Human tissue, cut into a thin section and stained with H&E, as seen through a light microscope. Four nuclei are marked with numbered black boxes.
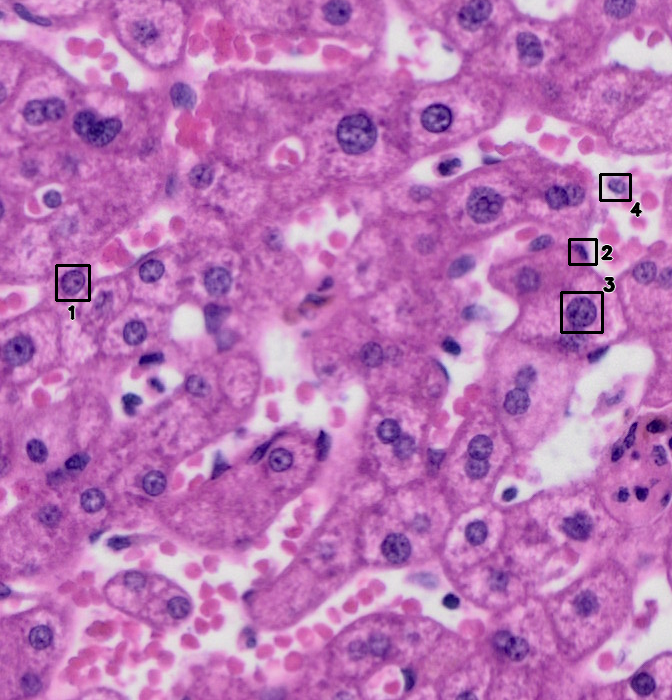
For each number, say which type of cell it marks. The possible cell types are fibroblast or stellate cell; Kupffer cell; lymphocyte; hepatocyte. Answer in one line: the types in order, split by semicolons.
hepatocyte; fibroblast or stellate cell; hepatocyte; Kupffer cell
